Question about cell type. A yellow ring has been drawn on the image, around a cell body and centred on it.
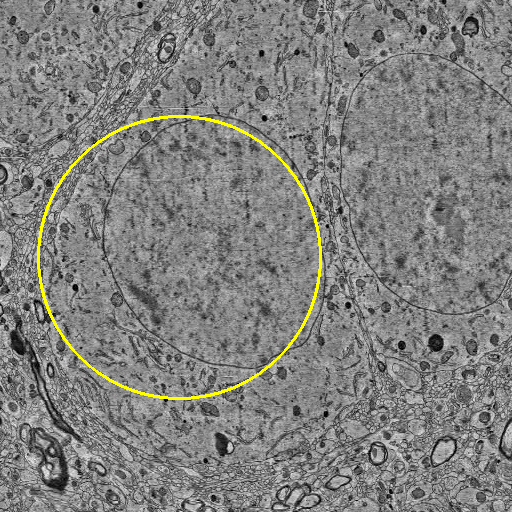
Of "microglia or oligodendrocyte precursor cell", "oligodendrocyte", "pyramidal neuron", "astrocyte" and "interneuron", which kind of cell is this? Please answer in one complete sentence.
At the centre of the ring lies a pyramidal neuron.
